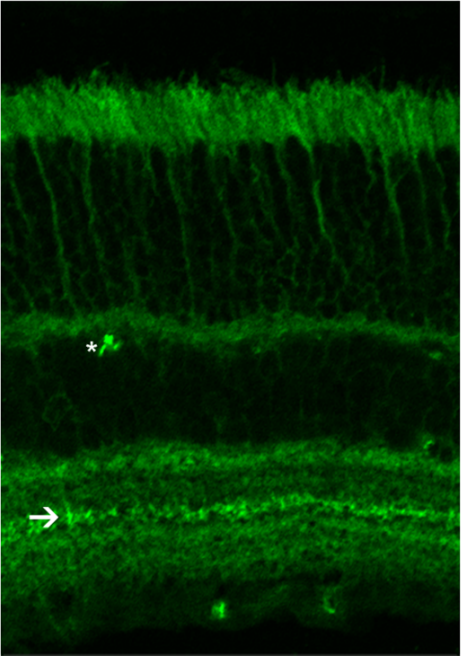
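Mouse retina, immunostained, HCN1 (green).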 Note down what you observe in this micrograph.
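Green labelling fills a striated band near the top, thin vertical strands through a dark layer beneath, a thin line lower down, and a broad granular layer near the bottom with a brighter beaded stripe inside it. A small, very bright irregular profile sits just under the thin line, and small bright spots lie near the bottom edge. The bands are the inner segments, outer plexiform layer and inner plexiform layer with one strongly labelled sublamina, and the bright profile is a blood vessel.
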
